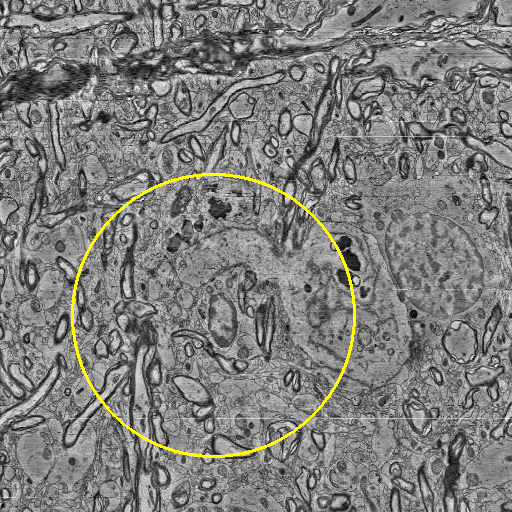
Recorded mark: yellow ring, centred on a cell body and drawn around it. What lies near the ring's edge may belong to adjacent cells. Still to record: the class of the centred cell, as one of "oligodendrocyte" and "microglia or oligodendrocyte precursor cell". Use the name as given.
microglia or oligodendrocyte precursor cell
